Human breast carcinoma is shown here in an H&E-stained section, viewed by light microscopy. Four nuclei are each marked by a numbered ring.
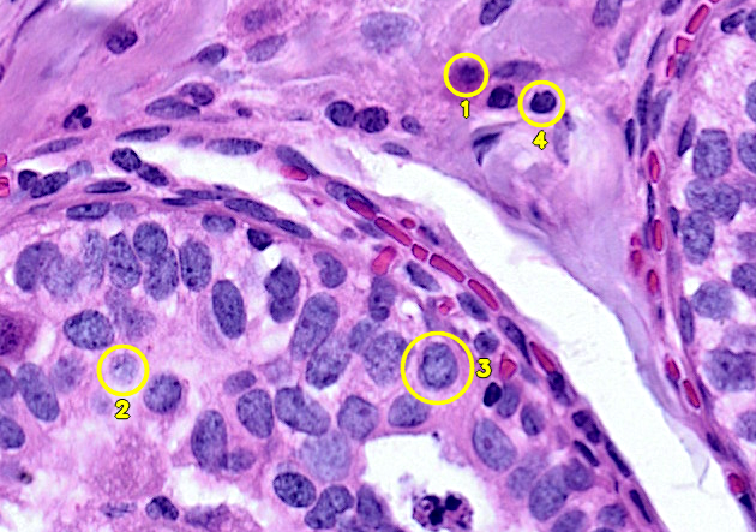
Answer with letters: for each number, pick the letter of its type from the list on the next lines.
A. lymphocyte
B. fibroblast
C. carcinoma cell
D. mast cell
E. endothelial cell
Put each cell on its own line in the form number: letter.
1: D
2: C
3: C
4: A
